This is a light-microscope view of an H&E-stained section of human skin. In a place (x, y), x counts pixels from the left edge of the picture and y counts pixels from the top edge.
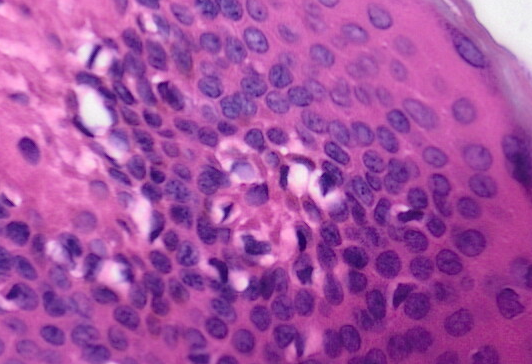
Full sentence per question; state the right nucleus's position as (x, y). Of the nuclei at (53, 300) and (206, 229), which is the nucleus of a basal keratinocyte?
The nucleus at (206, 229) is identified as belonging to a basal keratinocyte.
